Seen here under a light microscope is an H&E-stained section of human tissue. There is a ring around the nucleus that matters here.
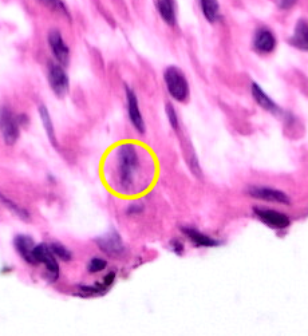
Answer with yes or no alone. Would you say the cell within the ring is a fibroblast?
yes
